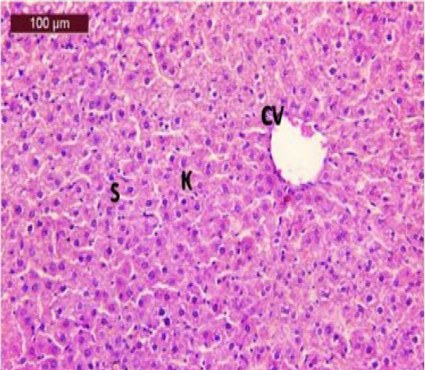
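This is liver, with hepatocytes arranged in cords around a central vein. The central vein is the large clear opening on the right side of the field. The hepatocytes are large polygonal cells with pink cytoplasm and round, centrally placed blue nuclei. Between the cords run narrow pale sinusoids. Along the sinusoids a few small, darker, flattened nuclei may belong to lining cells such as Kupffer cells.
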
